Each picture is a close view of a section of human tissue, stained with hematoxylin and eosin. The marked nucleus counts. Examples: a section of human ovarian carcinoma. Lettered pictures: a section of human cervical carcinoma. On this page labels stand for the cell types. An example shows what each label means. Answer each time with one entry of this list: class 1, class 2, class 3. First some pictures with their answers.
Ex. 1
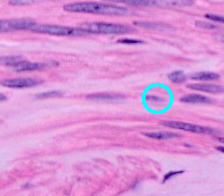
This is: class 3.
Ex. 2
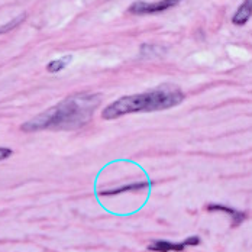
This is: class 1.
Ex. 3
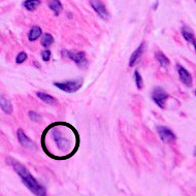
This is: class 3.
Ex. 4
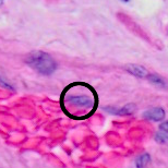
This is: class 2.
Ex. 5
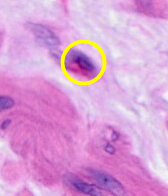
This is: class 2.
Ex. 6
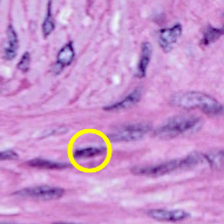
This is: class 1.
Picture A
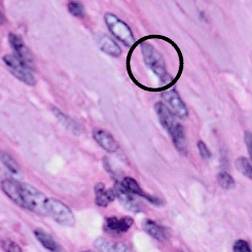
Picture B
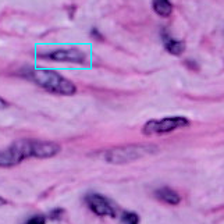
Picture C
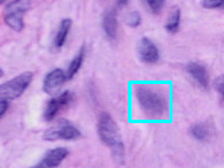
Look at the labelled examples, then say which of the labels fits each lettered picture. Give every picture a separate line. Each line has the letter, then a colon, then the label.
A: class 2.
B: class 3.
C: class 1.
